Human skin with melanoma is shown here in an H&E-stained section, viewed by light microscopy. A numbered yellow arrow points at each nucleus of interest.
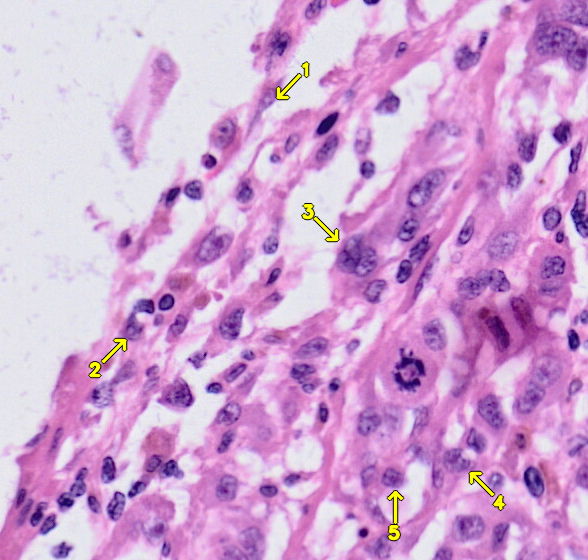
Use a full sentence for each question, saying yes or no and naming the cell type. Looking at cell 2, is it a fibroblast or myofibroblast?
No, cell 2 is not a fibroblast or myofibroblast; a macrophage or monocyte is the correct identification.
